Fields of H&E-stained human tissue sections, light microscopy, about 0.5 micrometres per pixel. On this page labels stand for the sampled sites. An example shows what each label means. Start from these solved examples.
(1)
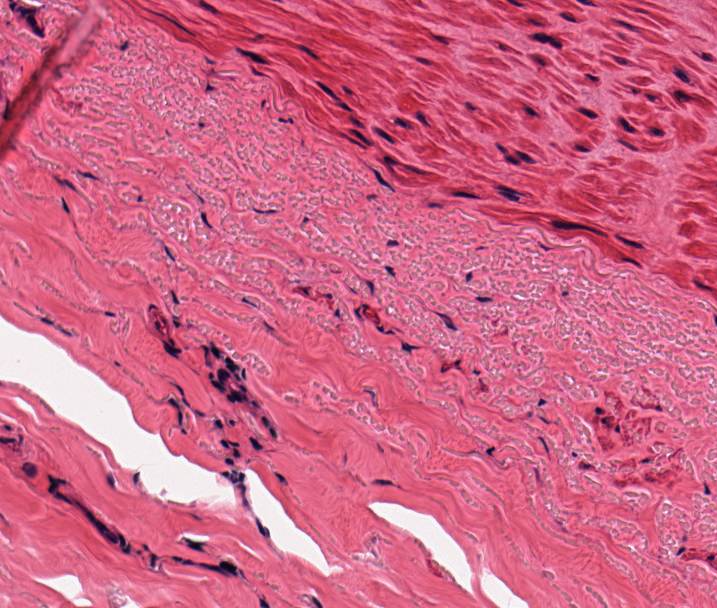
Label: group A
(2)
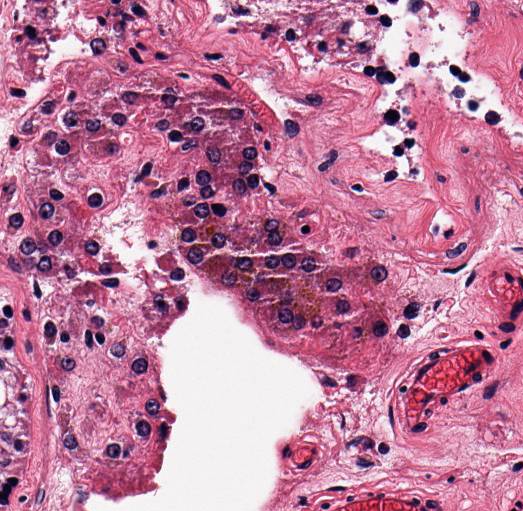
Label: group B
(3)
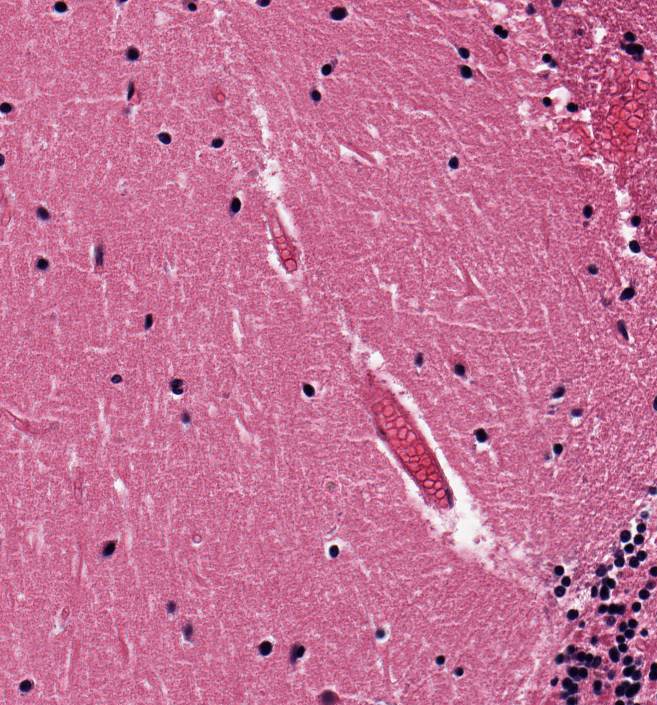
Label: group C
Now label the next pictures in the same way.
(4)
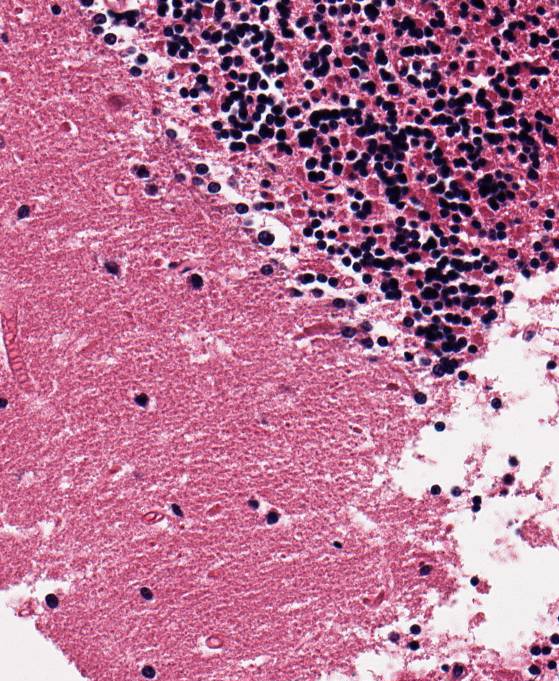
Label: group C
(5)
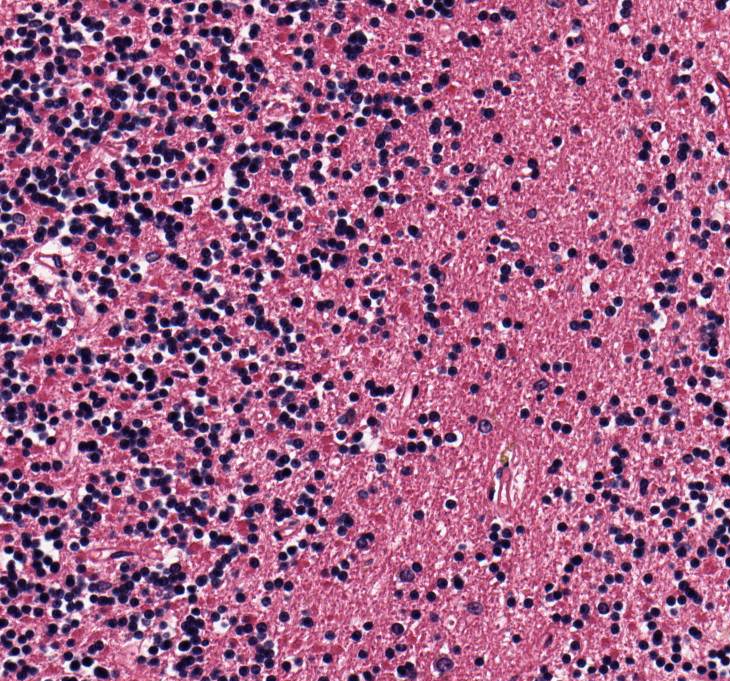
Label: group C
